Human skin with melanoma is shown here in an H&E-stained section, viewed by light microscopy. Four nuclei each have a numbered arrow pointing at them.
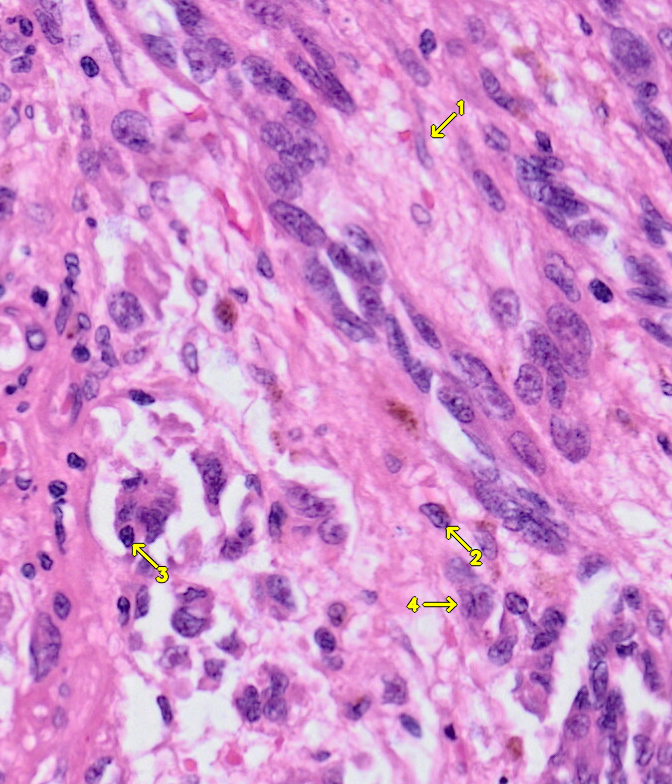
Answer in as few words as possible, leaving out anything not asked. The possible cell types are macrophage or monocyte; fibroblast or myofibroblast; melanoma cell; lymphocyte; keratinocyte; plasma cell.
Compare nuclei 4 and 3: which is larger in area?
4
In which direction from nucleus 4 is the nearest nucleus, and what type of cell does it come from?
a melanoma cell; to the right of nucleus 4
